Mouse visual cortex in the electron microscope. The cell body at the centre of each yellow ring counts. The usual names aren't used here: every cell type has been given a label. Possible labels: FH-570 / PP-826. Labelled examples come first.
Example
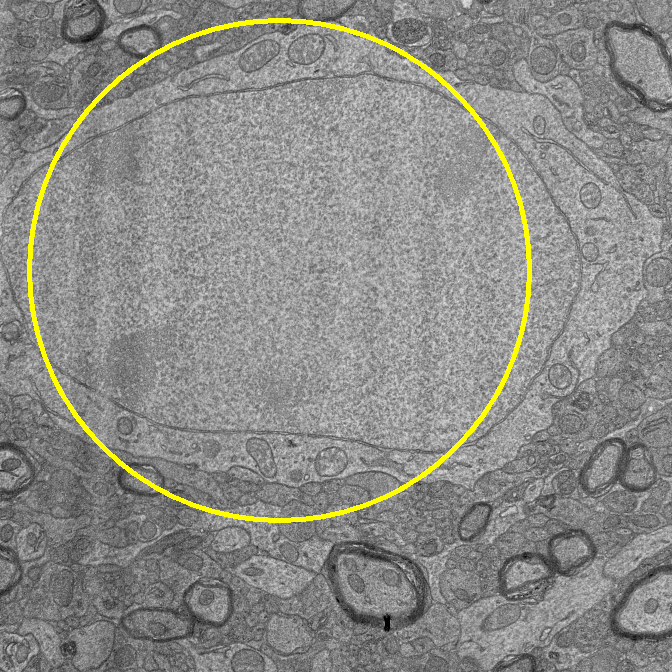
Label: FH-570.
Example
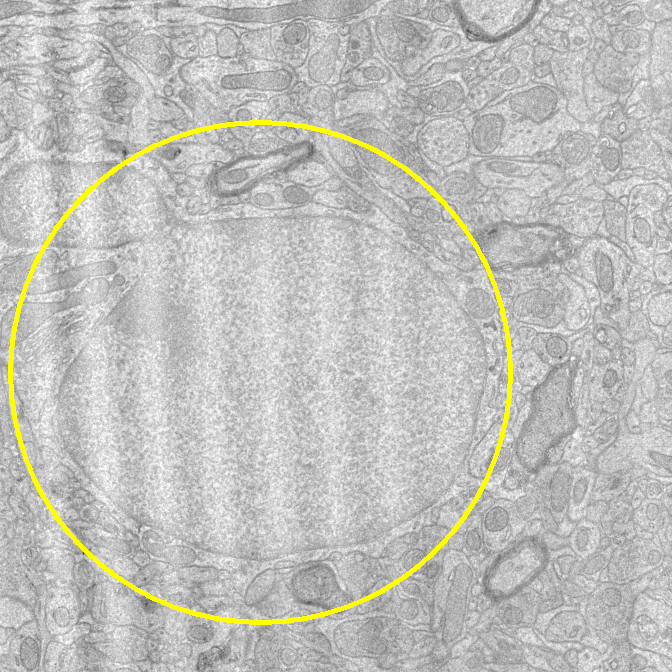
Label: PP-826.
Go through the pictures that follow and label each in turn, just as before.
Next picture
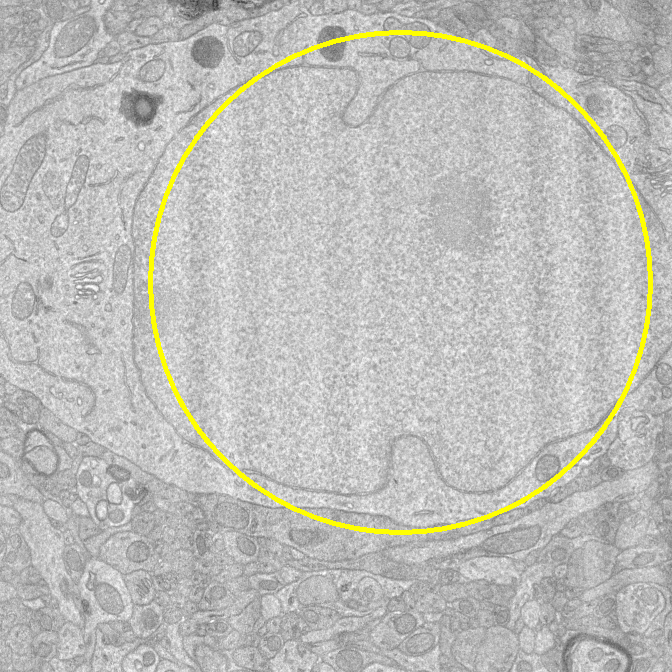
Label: FH-570.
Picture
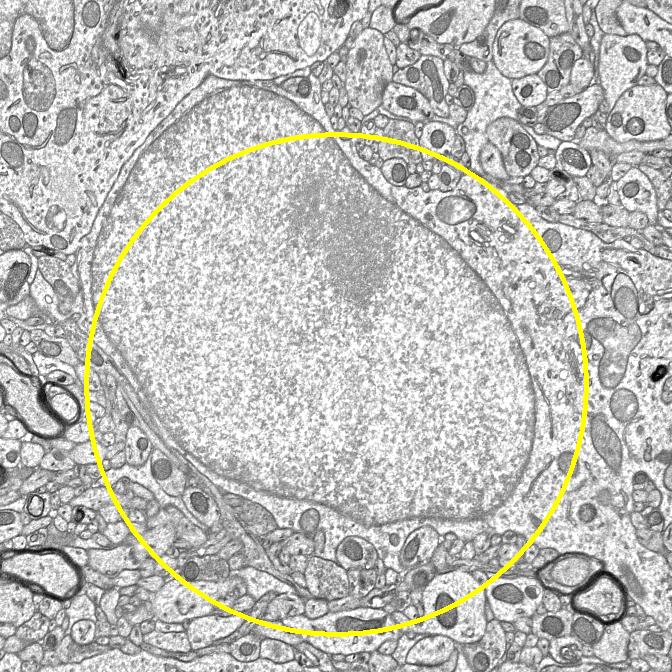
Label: PP-826.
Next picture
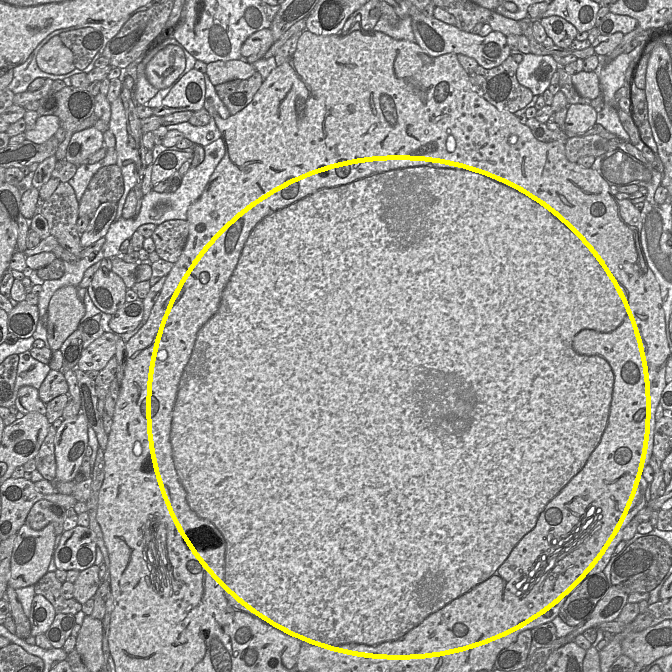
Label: FH-570.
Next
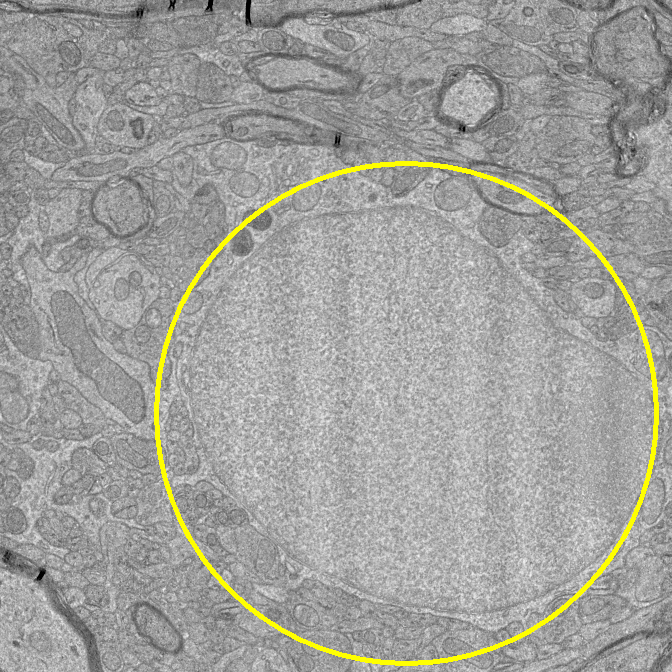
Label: PP-826.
